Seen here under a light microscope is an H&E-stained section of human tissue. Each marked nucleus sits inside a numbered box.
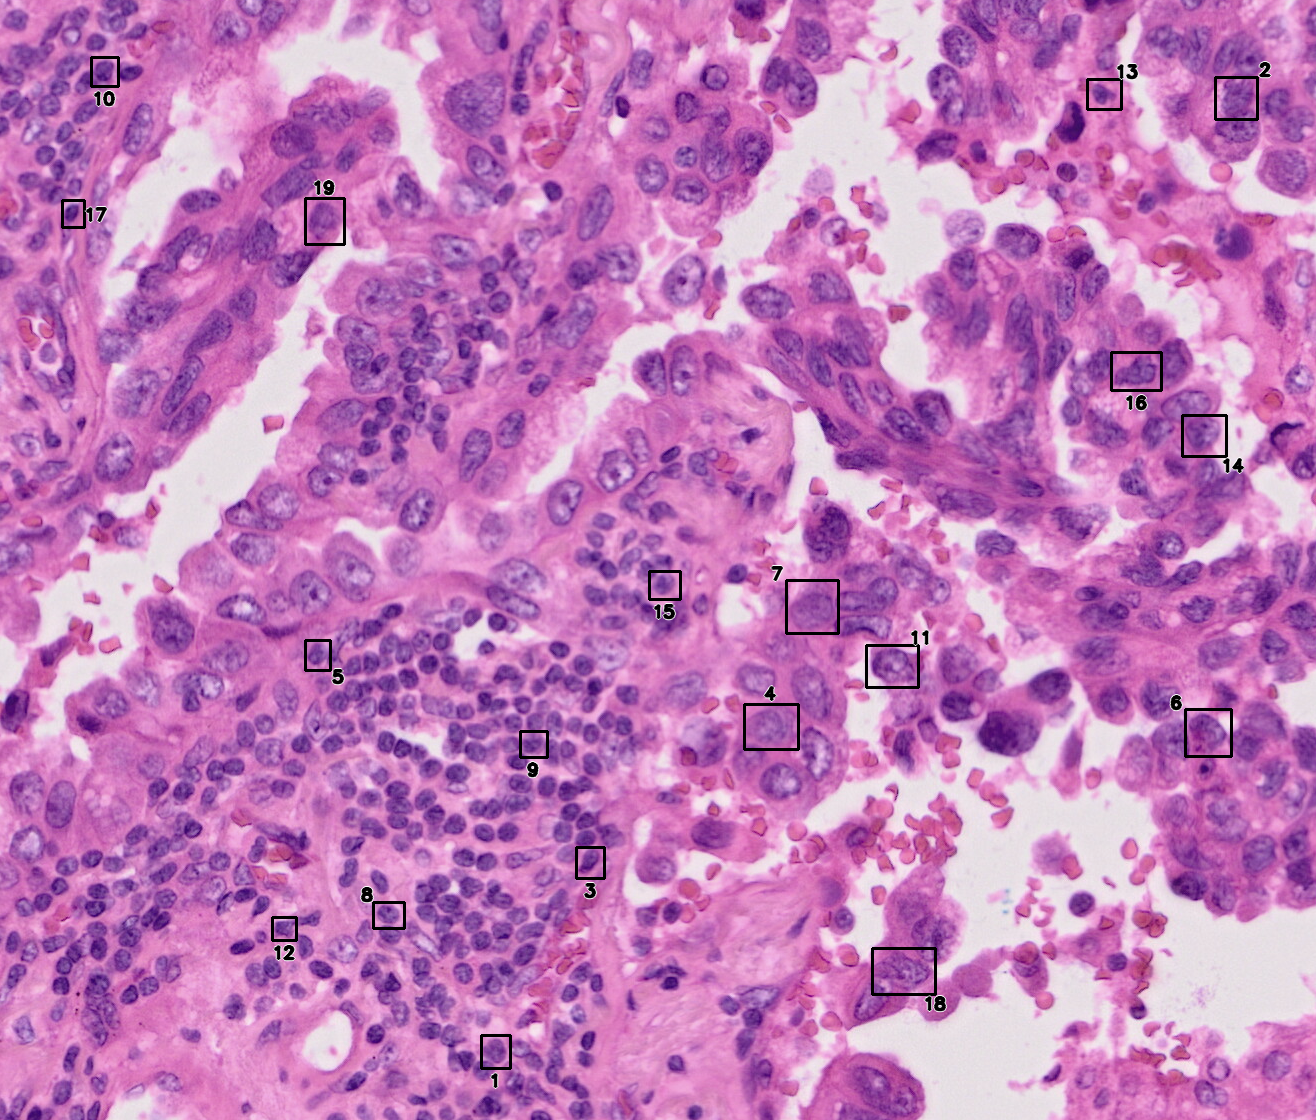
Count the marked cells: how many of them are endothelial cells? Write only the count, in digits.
0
